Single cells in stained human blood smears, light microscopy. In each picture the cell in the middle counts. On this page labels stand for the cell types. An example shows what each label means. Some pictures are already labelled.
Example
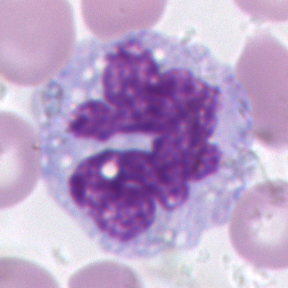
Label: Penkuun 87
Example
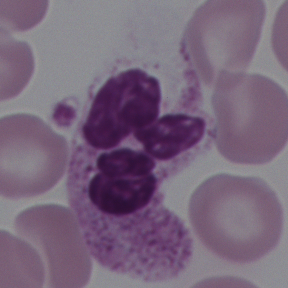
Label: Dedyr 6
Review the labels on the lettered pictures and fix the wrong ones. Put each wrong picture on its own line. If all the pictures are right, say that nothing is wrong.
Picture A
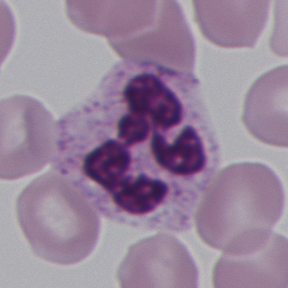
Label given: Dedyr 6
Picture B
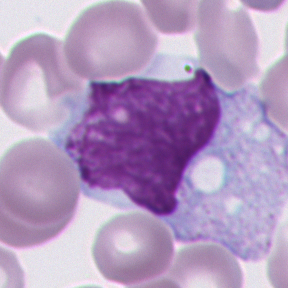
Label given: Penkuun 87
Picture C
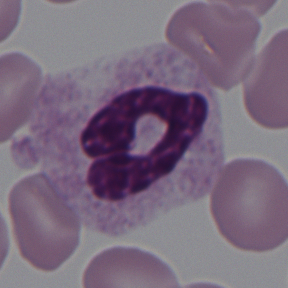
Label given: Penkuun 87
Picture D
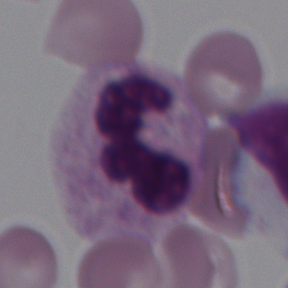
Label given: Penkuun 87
Wrong: C (Penkuun 87); correct: Dedyr 6
Wrong: D (Penkuun 87); correct: Dedyr 6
